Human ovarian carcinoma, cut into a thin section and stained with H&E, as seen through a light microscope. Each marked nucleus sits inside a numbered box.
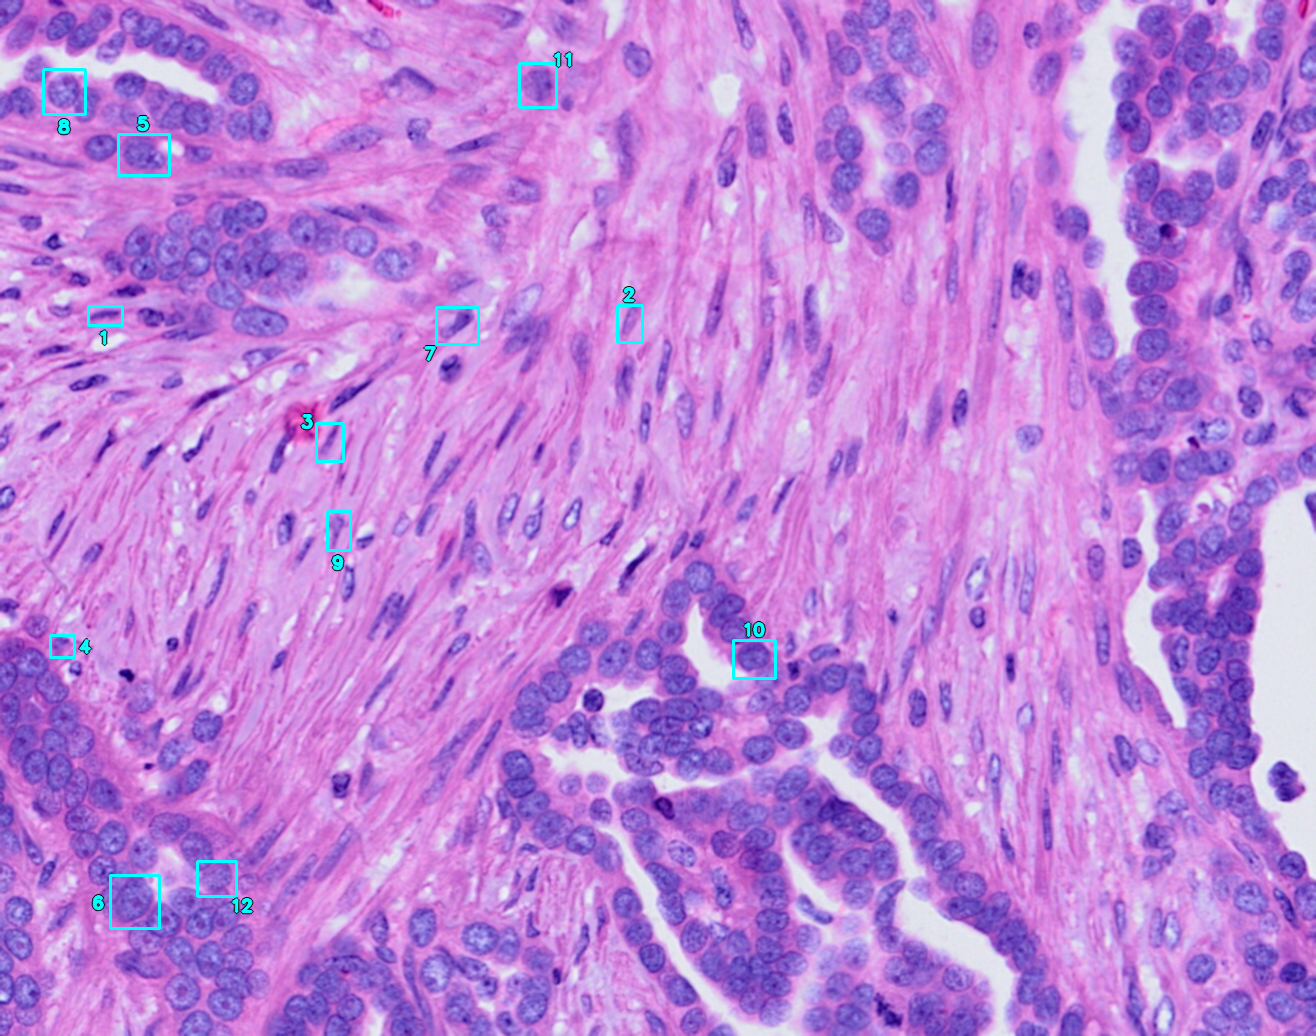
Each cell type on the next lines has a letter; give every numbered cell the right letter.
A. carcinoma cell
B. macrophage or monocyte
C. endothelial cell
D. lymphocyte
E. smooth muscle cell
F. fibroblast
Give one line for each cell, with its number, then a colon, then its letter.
1: F
2: F
3: F
4: F
5: A
6: A
7: F
8: A
9: F
10: A
11: F
12: A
